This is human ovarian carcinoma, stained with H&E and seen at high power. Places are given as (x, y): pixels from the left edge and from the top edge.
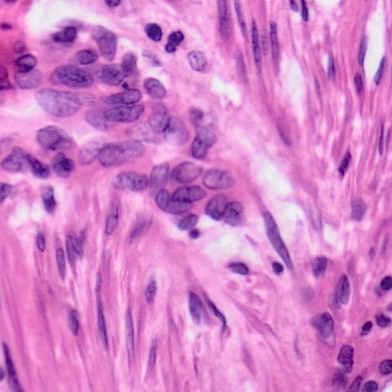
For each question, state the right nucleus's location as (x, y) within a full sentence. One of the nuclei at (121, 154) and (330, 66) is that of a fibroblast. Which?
Of the two options, the nucleus at (330, 66) is the one that belongs to a fibroblast.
